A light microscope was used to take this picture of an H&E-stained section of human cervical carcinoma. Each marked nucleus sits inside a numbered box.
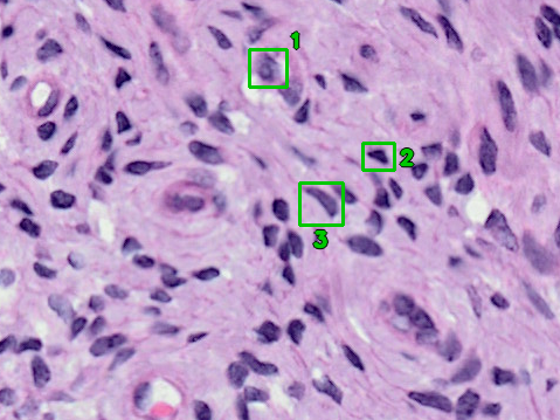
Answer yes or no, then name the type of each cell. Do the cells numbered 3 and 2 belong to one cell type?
Yes, cell 3 is among the fibroblasts, and cell 2 is as well.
